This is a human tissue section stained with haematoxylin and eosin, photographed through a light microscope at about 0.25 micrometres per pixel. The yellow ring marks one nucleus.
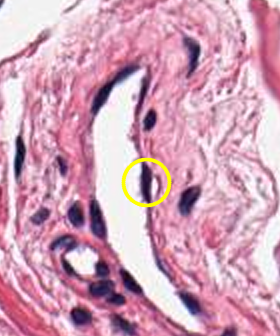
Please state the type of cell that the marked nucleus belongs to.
endothelial cell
